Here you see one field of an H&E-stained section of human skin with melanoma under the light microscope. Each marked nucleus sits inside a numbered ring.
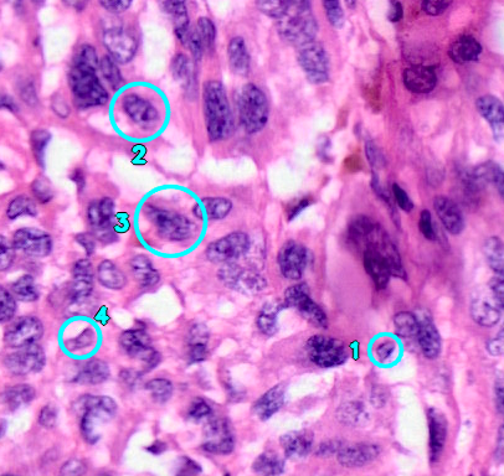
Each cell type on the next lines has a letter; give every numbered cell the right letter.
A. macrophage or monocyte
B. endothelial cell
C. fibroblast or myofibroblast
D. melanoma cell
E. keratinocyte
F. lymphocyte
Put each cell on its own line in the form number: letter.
1: F
2: D
3: D
4: D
